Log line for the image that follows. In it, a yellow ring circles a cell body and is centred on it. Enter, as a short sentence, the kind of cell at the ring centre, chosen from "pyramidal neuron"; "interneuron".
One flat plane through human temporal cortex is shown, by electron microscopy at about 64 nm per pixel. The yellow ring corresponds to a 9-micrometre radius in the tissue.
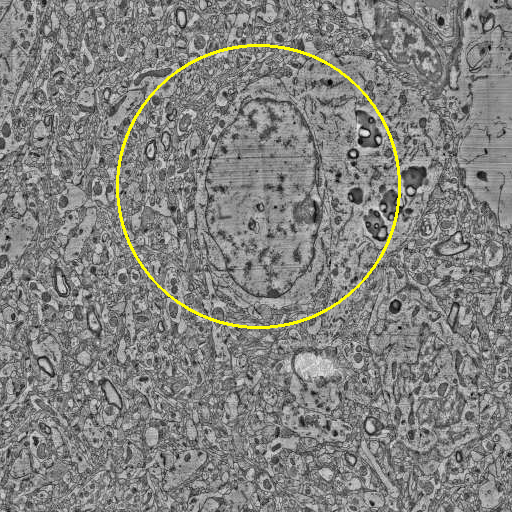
The ring centre is occupied by an interneuron.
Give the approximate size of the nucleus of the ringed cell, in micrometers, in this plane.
Roughly 13 micrometres long and 7 micrometres wide; in this plane the nucleus is clearly longer than it is wide.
